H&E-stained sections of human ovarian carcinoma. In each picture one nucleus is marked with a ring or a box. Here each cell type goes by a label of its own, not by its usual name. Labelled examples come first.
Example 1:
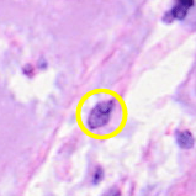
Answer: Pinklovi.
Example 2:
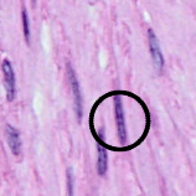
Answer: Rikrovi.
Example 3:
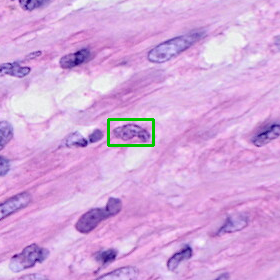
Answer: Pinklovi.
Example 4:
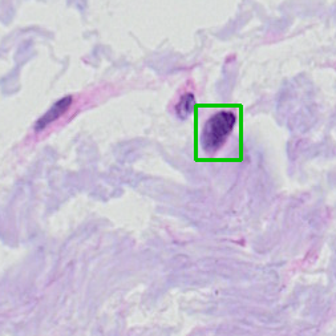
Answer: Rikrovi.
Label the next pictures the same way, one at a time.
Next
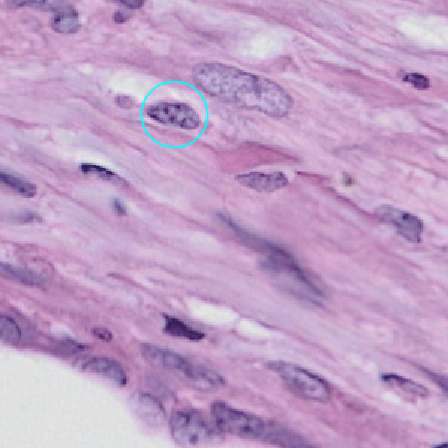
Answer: Pinklovi.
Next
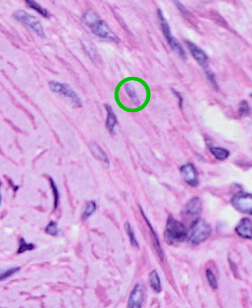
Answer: Rikrovi.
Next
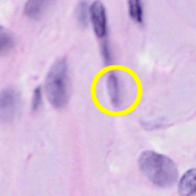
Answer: Rikrovi.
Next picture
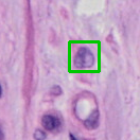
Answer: Pinklovi.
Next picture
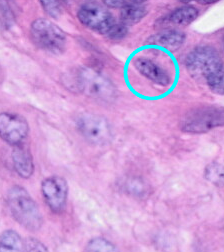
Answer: Pinklovi.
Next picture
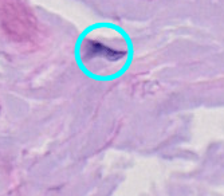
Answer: Rikrovi.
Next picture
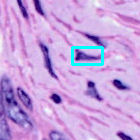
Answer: Rikrovi.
